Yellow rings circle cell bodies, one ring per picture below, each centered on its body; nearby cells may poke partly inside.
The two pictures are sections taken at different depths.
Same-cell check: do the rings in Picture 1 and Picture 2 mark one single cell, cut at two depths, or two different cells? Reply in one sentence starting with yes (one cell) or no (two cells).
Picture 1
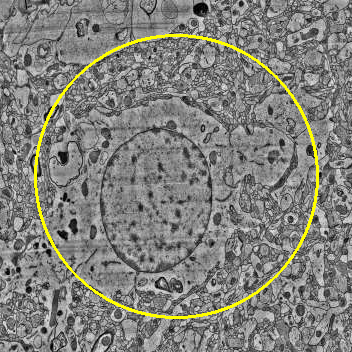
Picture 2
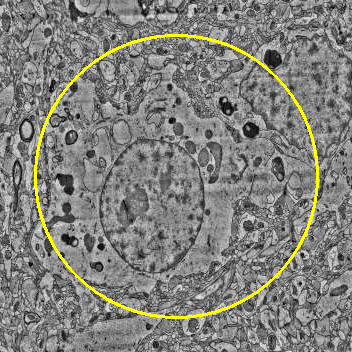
Yes, only one cell is involved, and both rings mark it.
